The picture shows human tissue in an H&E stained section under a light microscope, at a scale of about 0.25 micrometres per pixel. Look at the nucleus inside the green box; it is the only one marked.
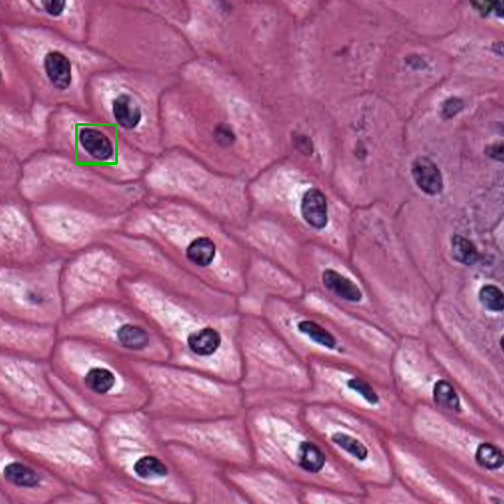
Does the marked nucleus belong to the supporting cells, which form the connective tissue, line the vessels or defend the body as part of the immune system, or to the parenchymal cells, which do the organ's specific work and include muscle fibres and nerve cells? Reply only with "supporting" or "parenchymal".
parenchymal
